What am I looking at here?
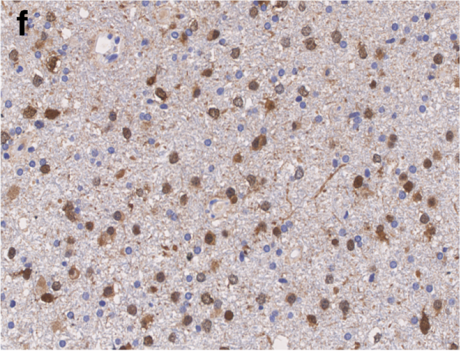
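This is a diffusely infiltrating glial tumour. Many scattered tumour cells have brown-stained cytoplasm and nuclei, and some show short stained processes. They lie among cells with unstained blue nuclei in a pale fibrillary background that holds a few clear vacuoles.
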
